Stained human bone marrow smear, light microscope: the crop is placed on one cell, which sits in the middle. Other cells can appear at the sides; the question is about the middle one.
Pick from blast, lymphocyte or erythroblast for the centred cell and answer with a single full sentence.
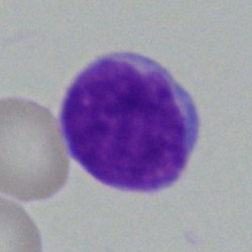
The crop's centre is taken up by a blast.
